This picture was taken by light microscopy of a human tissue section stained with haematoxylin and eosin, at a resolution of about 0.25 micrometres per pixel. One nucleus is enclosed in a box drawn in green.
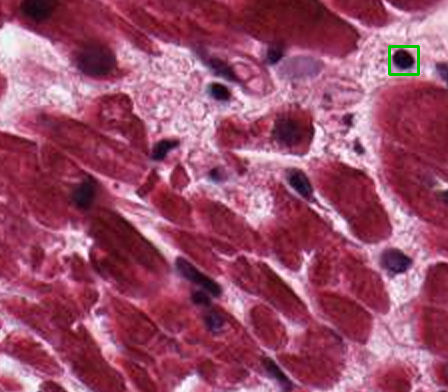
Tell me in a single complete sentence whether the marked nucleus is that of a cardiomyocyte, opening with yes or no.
No, the marked nucleus does not come from a cardiomyocyte but from a supporting cell.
